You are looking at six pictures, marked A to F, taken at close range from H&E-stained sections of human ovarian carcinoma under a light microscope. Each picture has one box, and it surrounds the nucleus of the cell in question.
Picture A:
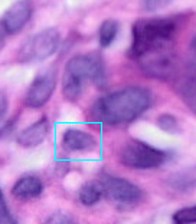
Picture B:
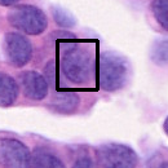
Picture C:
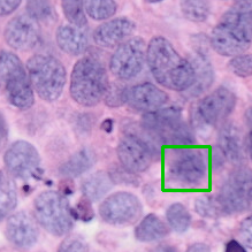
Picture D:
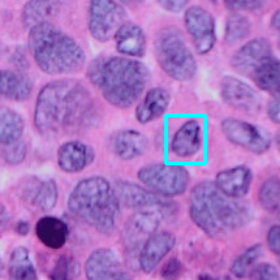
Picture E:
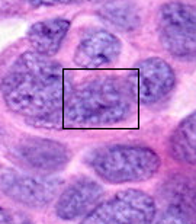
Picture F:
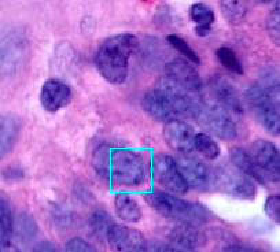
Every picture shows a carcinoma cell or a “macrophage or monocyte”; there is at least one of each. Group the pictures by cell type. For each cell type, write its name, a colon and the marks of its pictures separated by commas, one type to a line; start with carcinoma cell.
carcinoma cell: B, C, E, F
macrophage or monocyte: A, D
